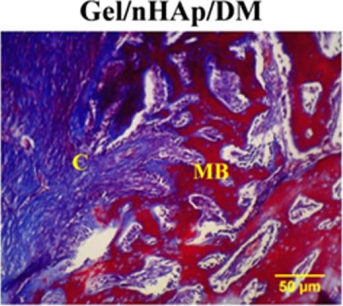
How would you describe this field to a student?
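Repair tissue with blue-stained collagen on one side and red-stained bone matrix on the other. The blue region is fibrous, with wavy, streaming strands and scattered dark nuclei. The red region forms broad, solid masses of matrix broken by irregular pale spaces and channels. The red and blue areas interdigitate at the border between them.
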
